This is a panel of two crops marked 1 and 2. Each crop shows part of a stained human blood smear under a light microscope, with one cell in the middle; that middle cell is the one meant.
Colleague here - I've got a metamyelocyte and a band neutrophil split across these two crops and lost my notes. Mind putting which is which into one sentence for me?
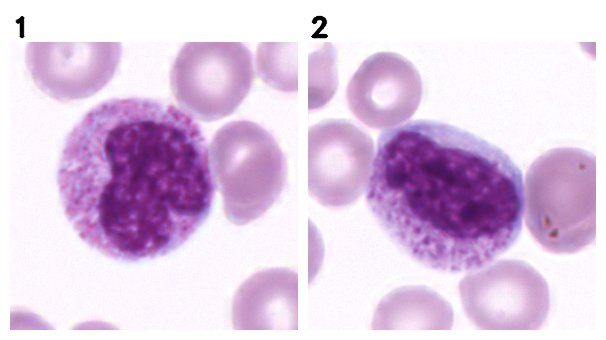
What crop 1 shows is a band neutrophil, and what crop 2 shows is a metamyelocyte.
